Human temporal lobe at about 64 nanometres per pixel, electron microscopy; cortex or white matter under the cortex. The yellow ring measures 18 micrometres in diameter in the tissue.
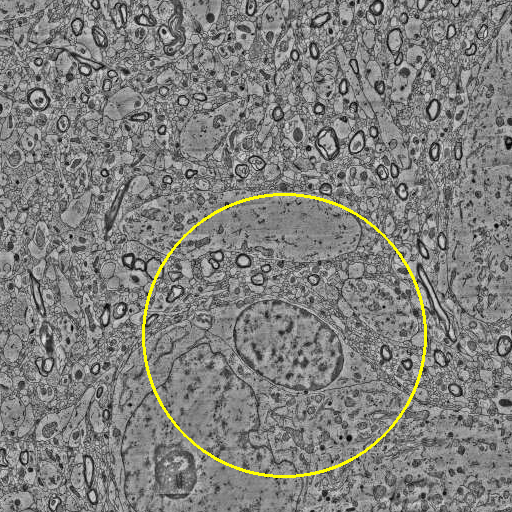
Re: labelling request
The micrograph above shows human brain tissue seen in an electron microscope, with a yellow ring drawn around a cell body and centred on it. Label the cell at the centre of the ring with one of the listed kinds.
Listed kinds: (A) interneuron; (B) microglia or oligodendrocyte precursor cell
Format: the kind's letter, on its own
B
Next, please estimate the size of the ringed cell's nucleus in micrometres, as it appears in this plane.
Approximately 7 x 5 micrometres in this plane.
